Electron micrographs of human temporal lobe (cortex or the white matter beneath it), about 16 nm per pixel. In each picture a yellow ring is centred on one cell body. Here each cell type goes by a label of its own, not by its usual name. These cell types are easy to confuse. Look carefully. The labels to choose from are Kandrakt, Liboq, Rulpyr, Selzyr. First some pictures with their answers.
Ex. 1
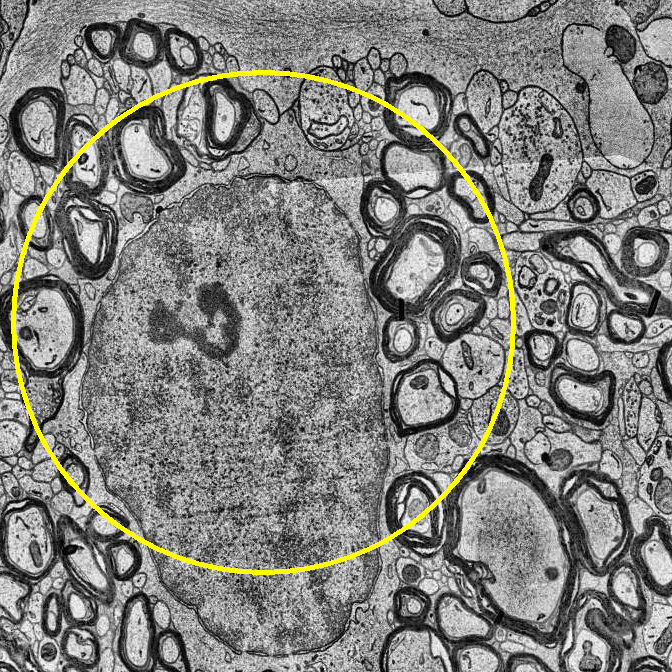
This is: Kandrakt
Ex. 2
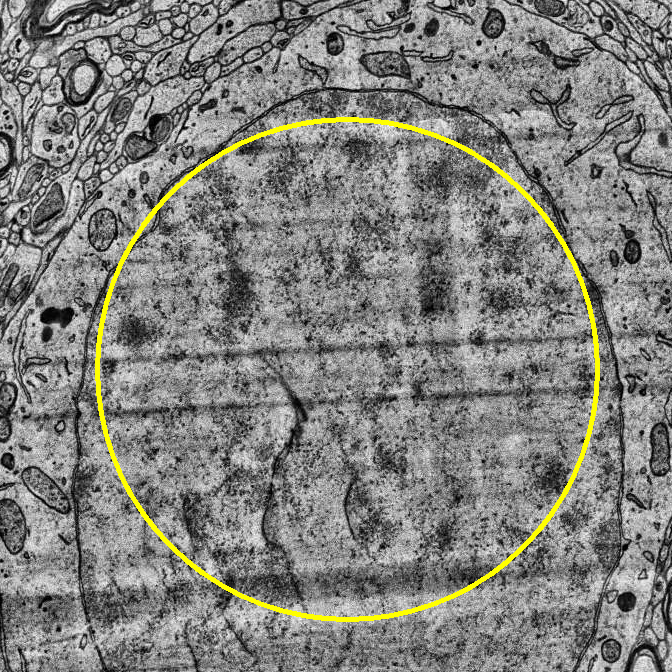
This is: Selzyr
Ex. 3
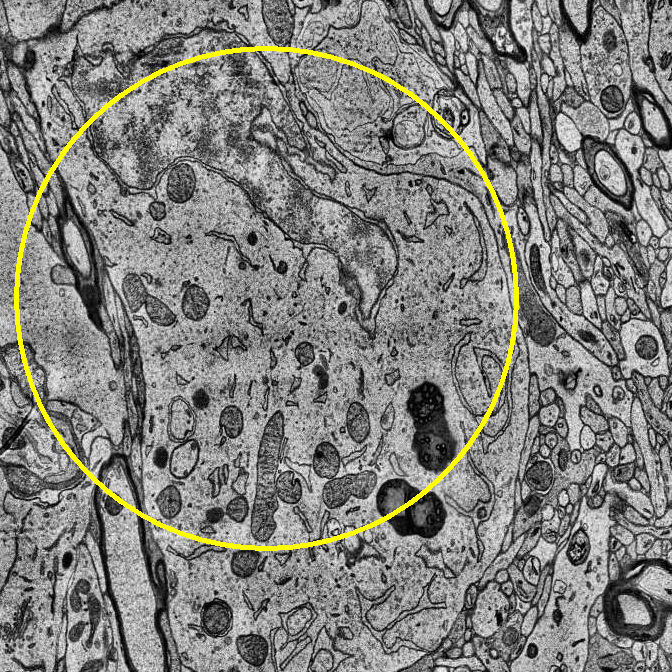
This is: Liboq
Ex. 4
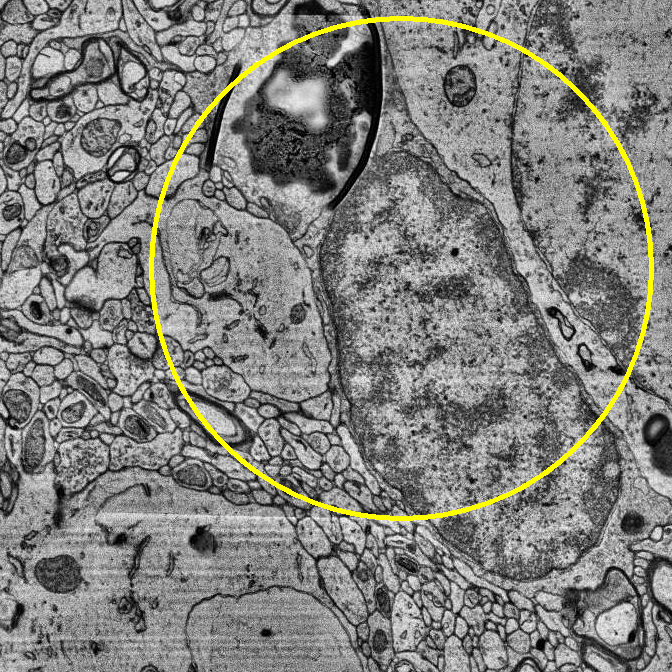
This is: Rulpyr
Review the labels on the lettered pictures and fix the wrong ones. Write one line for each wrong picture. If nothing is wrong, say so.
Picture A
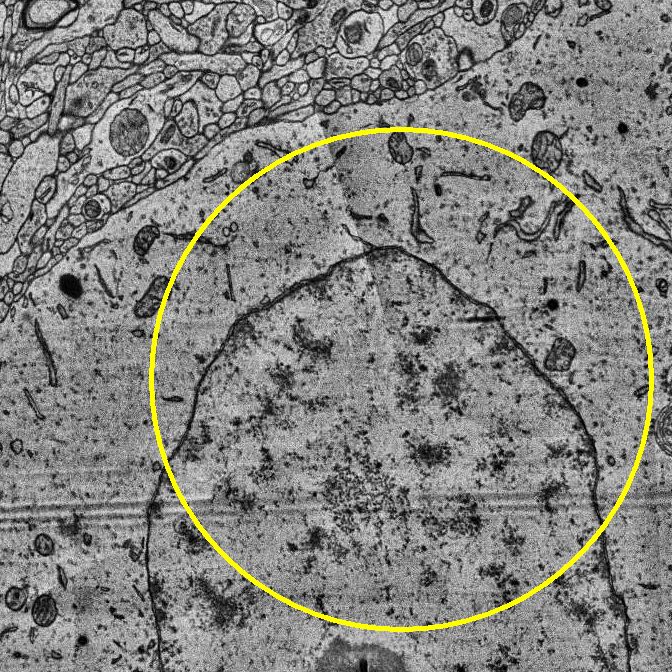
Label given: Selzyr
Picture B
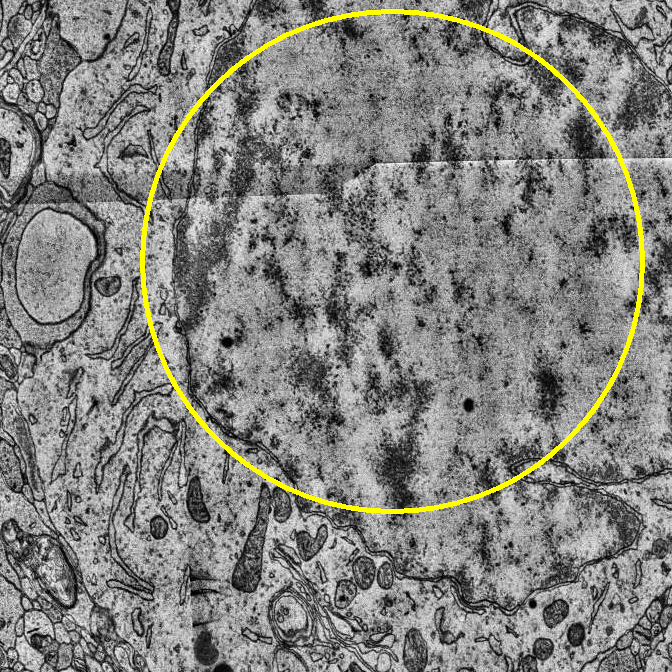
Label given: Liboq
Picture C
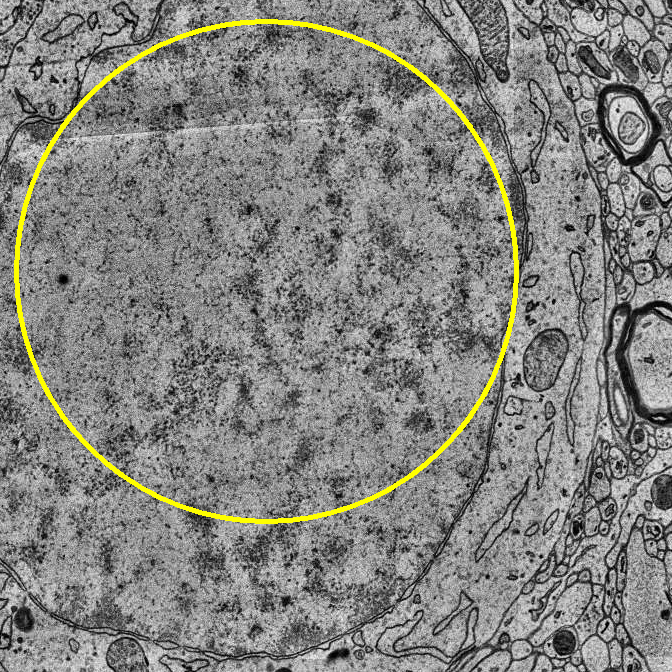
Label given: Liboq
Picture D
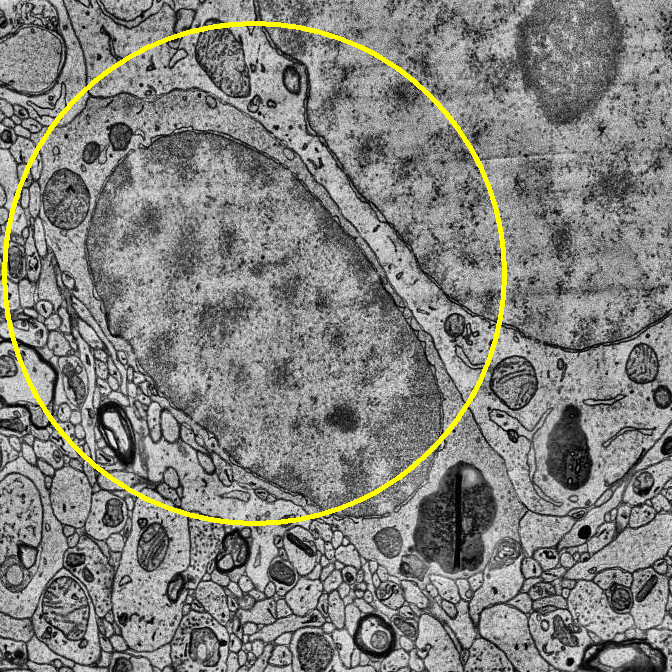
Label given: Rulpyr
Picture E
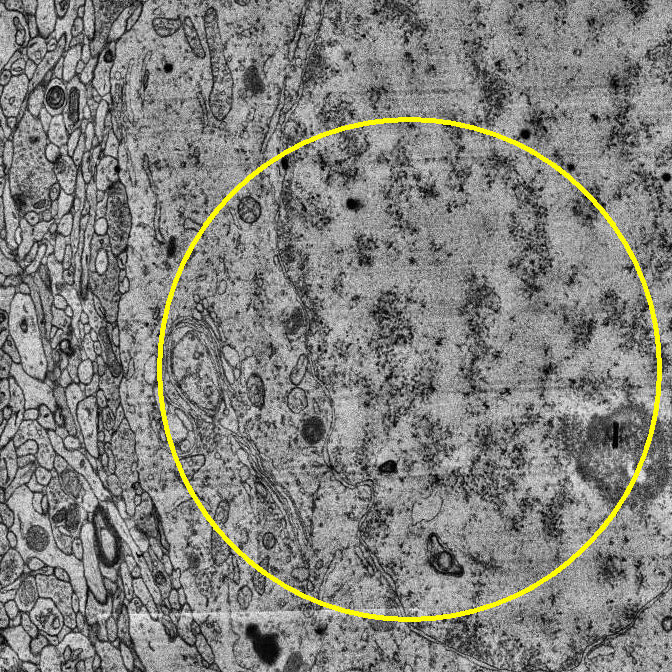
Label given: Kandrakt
D should be Kandrakt, not Rulpyr
E should be Liboq, not Kandrakt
